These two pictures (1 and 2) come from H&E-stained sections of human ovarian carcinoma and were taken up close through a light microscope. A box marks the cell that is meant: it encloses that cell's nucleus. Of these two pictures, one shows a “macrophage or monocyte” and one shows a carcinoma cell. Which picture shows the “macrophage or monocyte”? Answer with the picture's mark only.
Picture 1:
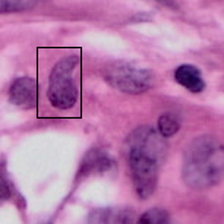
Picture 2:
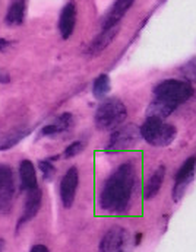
1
